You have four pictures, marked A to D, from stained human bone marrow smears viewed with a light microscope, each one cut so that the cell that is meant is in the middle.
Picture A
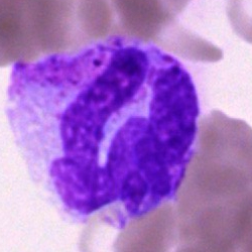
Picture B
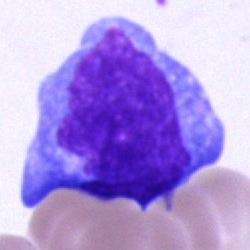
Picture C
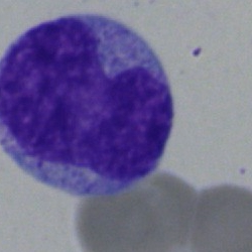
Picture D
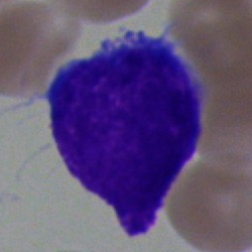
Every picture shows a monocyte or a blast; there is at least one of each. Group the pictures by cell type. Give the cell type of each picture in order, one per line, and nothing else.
monocyte
blast
monocyte
blast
